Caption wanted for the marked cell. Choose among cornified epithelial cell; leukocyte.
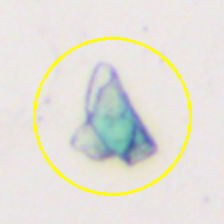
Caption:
Ringed in yellow is a cornified epithelial cell.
